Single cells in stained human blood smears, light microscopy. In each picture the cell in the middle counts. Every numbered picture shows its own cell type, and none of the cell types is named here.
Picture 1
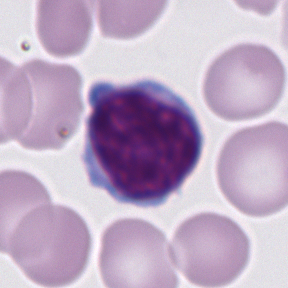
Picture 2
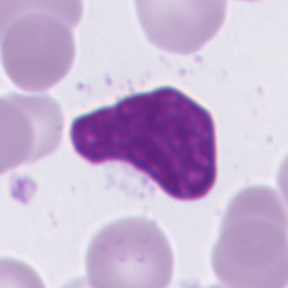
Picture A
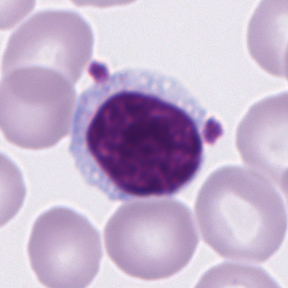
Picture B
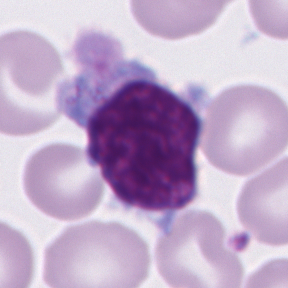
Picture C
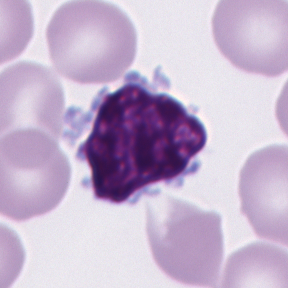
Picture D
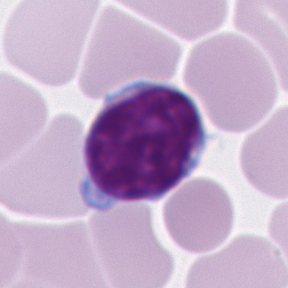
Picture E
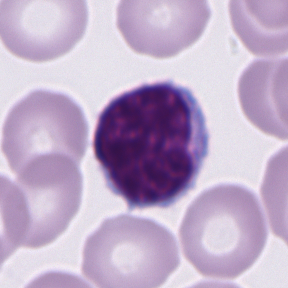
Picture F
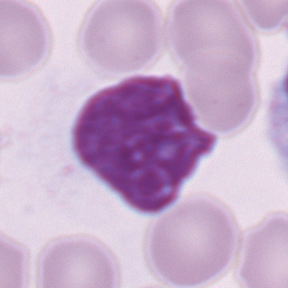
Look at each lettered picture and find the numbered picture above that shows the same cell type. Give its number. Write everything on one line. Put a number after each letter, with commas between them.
A 1, B 1, C 1, D 1, E 1, F 2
